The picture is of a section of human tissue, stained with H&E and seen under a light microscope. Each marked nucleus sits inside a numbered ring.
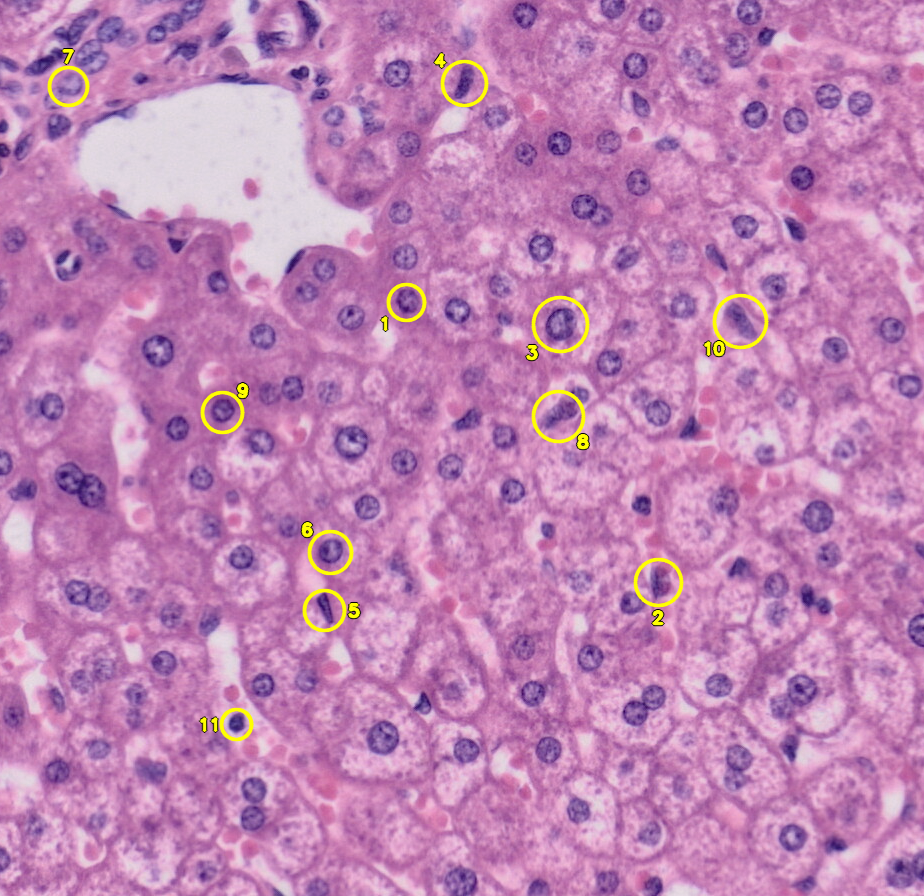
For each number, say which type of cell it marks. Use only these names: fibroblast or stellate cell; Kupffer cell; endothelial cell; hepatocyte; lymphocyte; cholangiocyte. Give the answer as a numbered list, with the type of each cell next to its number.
1. hepatocyte
2. endothelial cell
3. hepatocyte
4. fibroblast or stellate cell
5. fibroblast or stellate cell
6. hepatocyte
7. cholangiocyte
8. Kupffer cell
9. hepatocyte
10. Kupffer cell
11. lymphocyte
